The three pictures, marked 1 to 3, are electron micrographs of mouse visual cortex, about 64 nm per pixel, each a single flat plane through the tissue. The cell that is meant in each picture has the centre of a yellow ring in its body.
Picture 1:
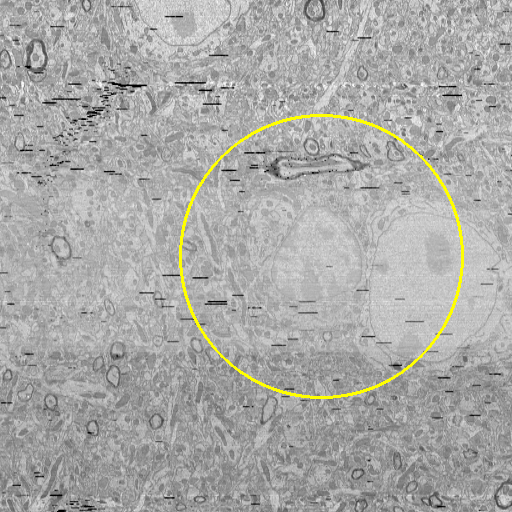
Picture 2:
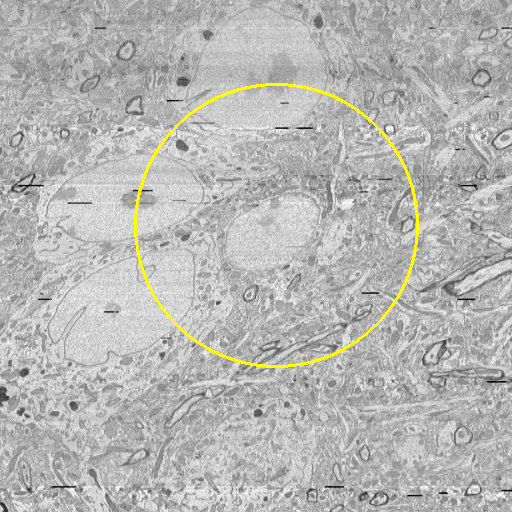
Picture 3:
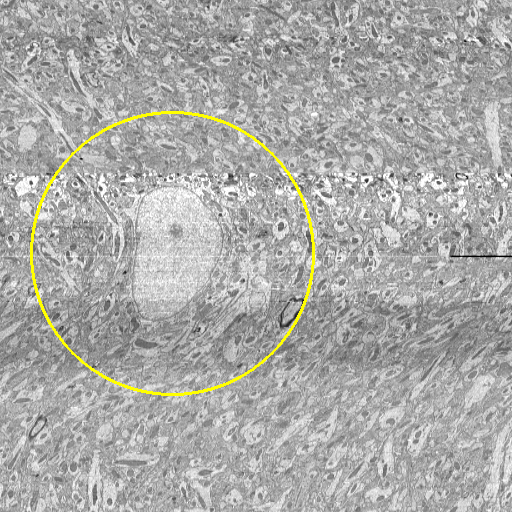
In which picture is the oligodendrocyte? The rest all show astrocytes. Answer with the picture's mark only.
1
